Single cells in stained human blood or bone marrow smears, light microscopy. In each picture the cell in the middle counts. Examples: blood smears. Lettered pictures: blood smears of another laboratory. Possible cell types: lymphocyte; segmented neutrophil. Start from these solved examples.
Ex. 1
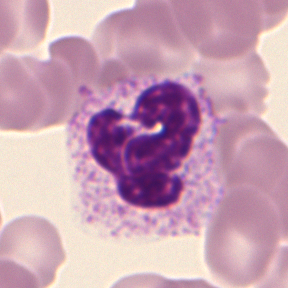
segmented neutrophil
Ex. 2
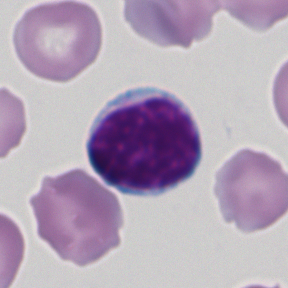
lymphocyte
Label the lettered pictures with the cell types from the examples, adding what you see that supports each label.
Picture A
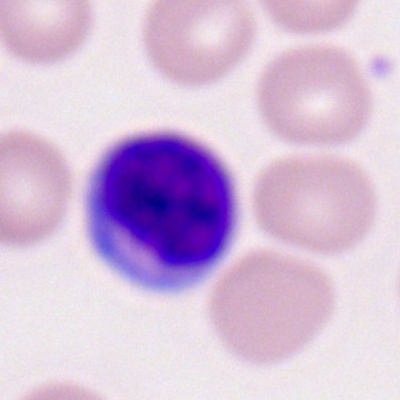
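Answer: lymphocyte. The cytoplasm is scant, a thin rim widening into a crescent at the lower left.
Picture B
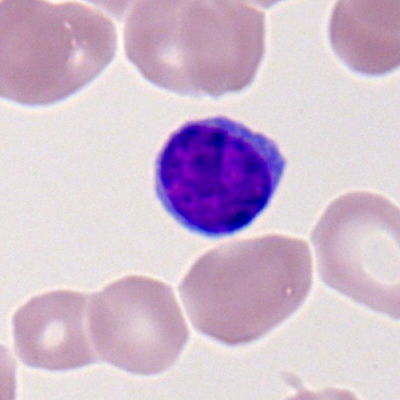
Answer: lymphocyte. The cytoplasm is a scant rim of pale blue.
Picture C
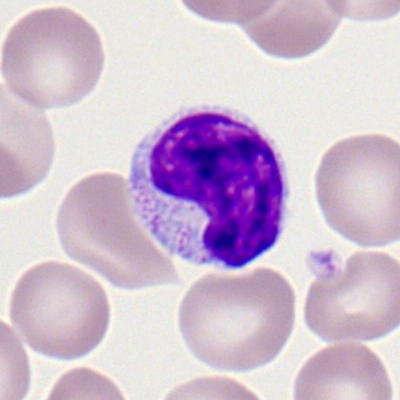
Answer: lymphocyte. The nucleus is curved like a kidney, with its indentation facing the lower left.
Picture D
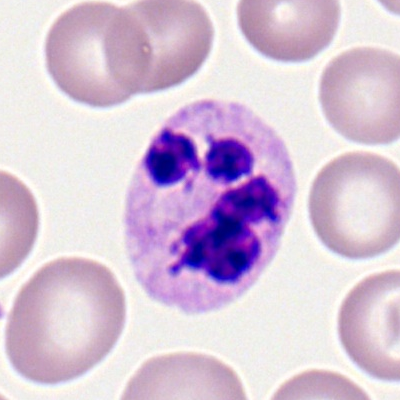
Answer: segmented neutrophil. The nucleus is split into at least three separate lobes.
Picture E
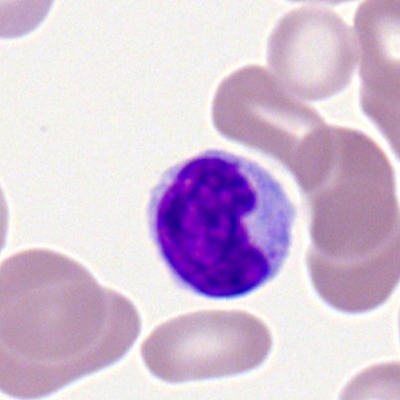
Answer: lymphocyte. The nucleus fills most of the cell.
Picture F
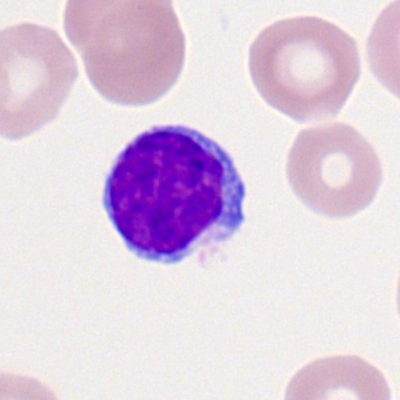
Answer: lymphocyte. The cytoplasm is a thin rim that is widest on the right side.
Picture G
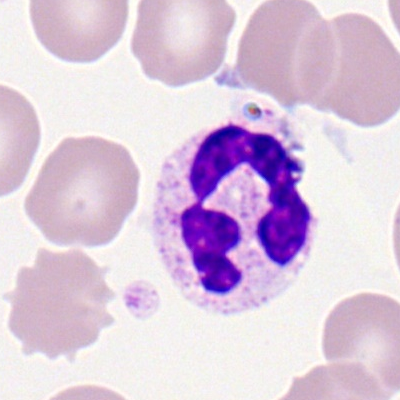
Answer: segmented neutrophil. The nucleus is divided into several lobes that curve in a loop around a pale central patch of cytoplasm.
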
